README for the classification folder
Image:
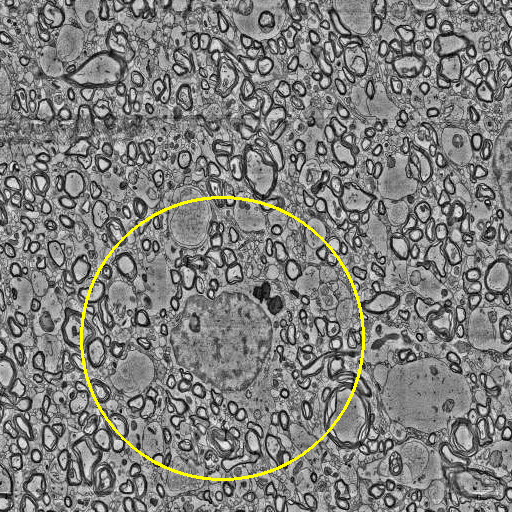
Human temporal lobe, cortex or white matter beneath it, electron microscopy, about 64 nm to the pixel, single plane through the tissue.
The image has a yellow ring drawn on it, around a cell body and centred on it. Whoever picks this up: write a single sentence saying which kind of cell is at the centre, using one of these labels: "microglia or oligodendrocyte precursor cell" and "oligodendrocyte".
This cell body is that of an oligodendrocyte.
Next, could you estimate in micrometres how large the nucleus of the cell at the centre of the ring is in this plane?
Roughly 7 micrometres across, measured in this plane.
